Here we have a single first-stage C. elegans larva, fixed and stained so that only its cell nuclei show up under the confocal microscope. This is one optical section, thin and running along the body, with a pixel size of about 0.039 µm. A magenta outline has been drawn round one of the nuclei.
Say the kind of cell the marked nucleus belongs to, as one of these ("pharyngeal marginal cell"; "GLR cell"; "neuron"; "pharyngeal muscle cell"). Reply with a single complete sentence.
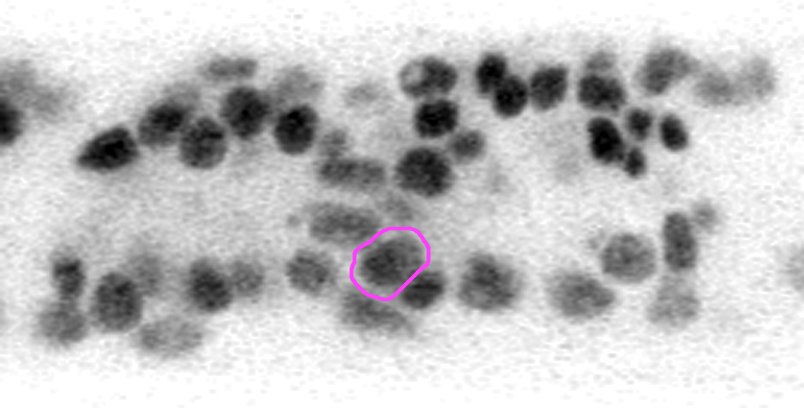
The nucleus comes from a pharyngeal muscle cell.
